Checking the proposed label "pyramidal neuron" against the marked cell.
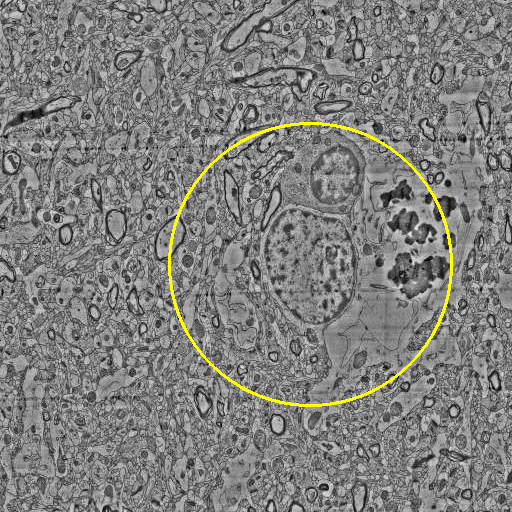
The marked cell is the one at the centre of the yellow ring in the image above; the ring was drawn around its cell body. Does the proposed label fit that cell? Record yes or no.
no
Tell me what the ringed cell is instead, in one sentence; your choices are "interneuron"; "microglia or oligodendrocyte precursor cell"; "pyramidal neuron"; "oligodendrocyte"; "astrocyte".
Instead, the cell inside the ring is a microglial cell or oligodendrocyte precursor cell.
